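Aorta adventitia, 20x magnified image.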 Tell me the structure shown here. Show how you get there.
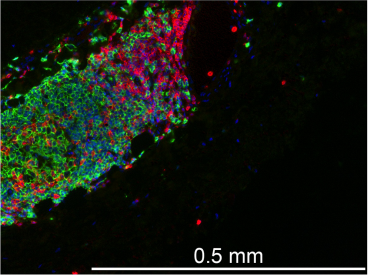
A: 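A large dense aggregate of nucleated immune cells lies in the tissue.
Answer: tertiary lymphoid structure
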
